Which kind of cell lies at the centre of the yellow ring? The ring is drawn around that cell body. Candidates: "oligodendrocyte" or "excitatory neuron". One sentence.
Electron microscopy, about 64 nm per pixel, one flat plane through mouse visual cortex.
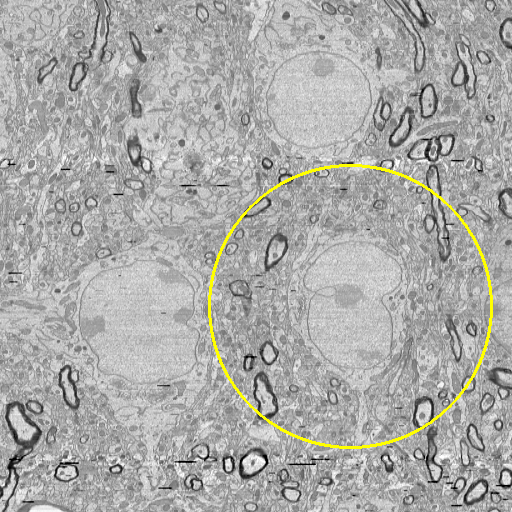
Lying at the centre of the ring is an excitatory neuron.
